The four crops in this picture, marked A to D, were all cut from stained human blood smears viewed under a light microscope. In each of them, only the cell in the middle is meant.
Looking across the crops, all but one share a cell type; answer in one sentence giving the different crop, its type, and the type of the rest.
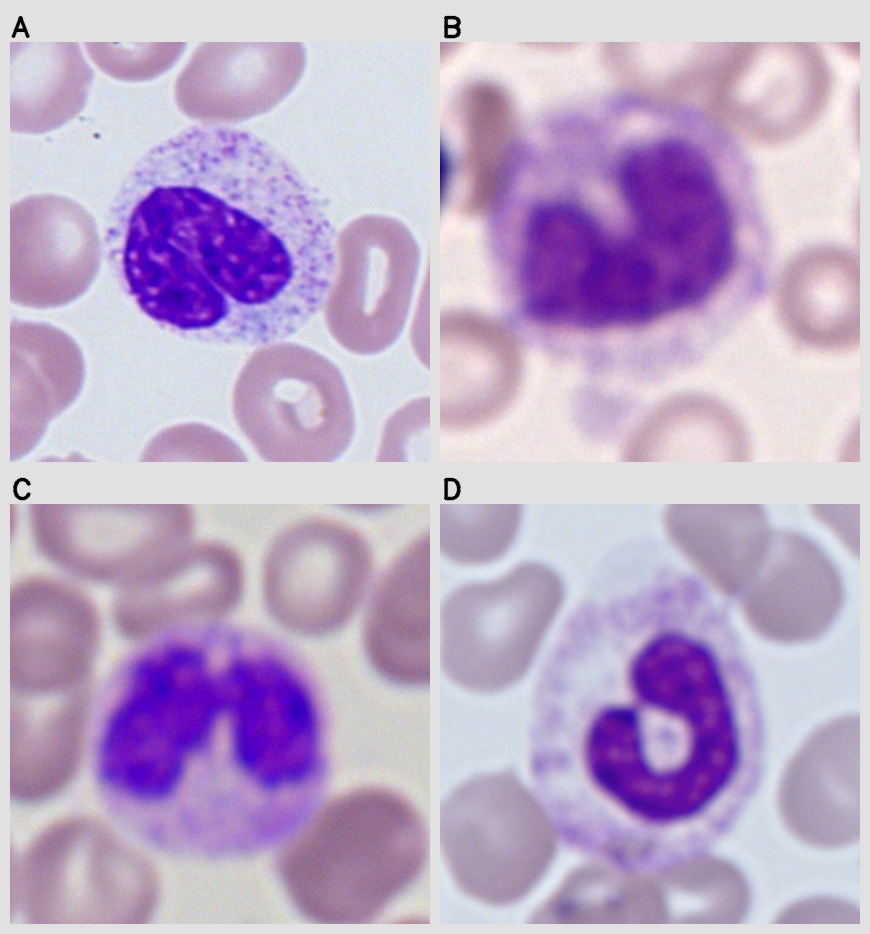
Among the crops, crop C is unique in showing a segmented neutrophil; the others show band neutrophils.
